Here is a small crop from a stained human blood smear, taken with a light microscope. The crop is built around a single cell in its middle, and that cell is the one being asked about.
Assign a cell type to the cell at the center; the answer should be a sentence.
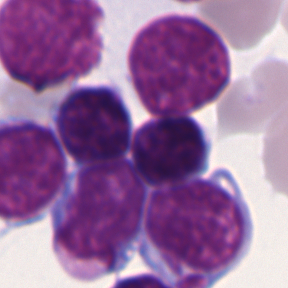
The central cell, amid any neighbouring cells, is a myeloblast.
